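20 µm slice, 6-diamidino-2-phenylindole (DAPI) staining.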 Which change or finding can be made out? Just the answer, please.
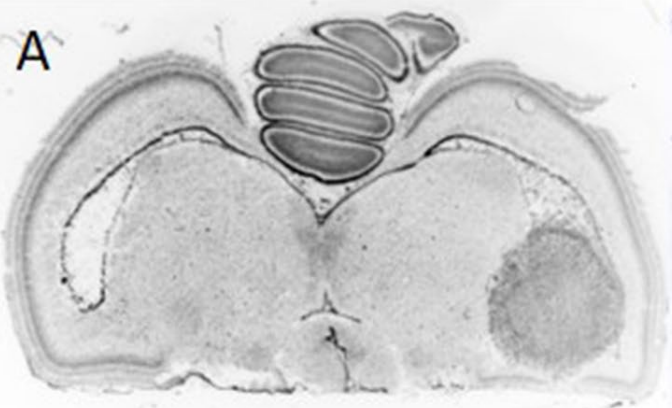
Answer: solid tumour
